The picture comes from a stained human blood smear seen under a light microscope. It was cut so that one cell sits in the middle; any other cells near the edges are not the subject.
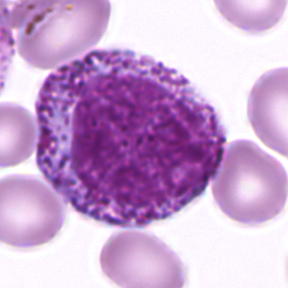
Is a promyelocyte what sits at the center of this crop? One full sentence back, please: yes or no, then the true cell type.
No, the cell in the middle is a myelocyte; it is not a promyelocyte.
